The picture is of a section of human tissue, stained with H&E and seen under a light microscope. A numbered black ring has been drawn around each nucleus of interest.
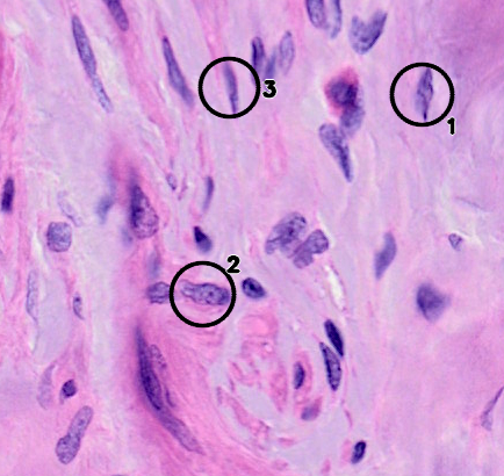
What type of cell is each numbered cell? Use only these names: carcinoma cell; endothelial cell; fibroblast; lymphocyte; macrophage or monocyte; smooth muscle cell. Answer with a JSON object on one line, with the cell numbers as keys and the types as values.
{"1": "fibroblast", "2": "smooth muscle cell", "3": "smooth muscle cell"}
